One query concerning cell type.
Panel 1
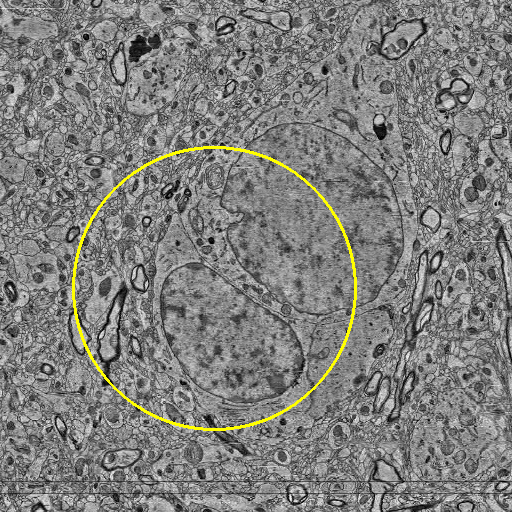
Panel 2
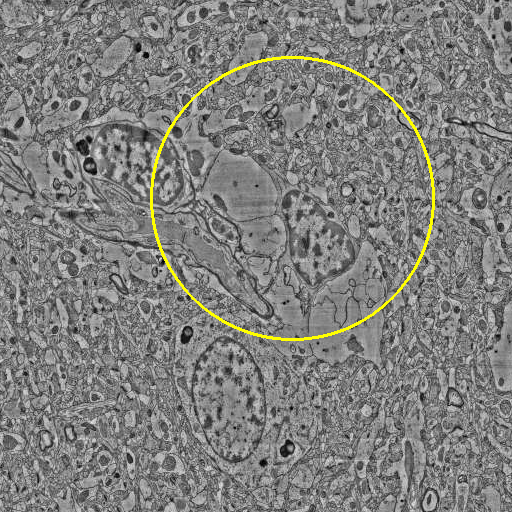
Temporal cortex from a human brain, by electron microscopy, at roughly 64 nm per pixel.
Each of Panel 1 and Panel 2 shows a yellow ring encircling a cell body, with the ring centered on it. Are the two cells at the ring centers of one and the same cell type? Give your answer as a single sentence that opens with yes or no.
Yes, the cell centered in Panel 1 and the one in Panel 2 share a type.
